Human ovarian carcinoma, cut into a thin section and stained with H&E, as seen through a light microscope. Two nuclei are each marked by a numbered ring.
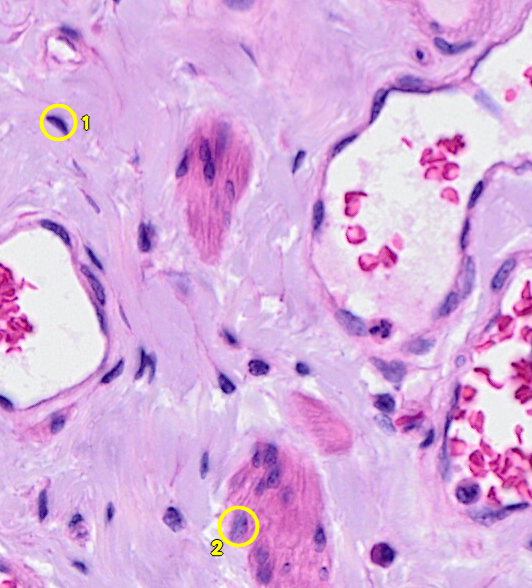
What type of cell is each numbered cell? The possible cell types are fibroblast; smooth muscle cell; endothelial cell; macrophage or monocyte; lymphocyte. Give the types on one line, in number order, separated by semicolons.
fibroblast; smooth muscle cell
